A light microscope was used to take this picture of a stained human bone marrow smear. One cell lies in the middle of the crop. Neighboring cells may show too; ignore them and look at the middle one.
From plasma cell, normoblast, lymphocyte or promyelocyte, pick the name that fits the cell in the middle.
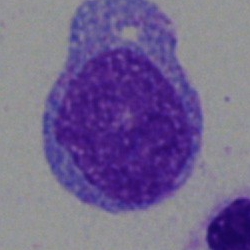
promyelocyte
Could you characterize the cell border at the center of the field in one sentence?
The cell is bounded by a ragged or projection-bearing margin rather than a smooth one.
